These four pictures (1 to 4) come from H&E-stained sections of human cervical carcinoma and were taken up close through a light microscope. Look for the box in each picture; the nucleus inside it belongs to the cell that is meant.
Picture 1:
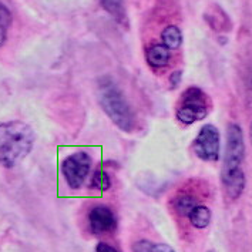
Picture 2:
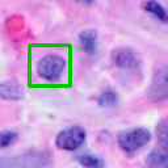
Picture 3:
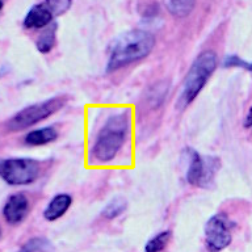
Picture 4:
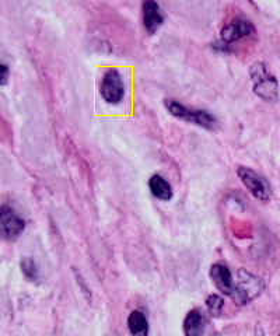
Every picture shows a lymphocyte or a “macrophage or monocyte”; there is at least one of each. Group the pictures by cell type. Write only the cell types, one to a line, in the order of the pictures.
lymphocyte
lymphocyte
macrophage or monocyte
lymphocyte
